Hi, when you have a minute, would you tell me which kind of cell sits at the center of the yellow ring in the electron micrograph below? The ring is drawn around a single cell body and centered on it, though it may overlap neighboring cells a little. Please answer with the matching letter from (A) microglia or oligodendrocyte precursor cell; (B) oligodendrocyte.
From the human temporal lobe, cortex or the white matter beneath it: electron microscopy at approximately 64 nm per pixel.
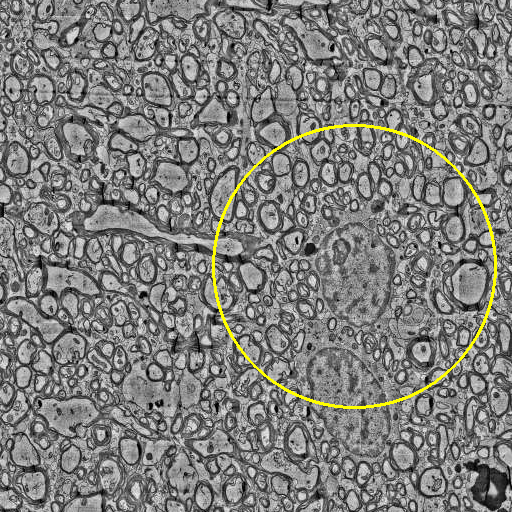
B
